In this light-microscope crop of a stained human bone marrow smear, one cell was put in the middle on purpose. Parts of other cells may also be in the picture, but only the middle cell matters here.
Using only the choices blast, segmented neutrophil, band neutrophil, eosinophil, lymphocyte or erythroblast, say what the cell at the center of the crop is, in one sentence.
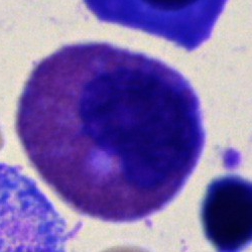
In this crop, the cell at the very middle is an eosinophil.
